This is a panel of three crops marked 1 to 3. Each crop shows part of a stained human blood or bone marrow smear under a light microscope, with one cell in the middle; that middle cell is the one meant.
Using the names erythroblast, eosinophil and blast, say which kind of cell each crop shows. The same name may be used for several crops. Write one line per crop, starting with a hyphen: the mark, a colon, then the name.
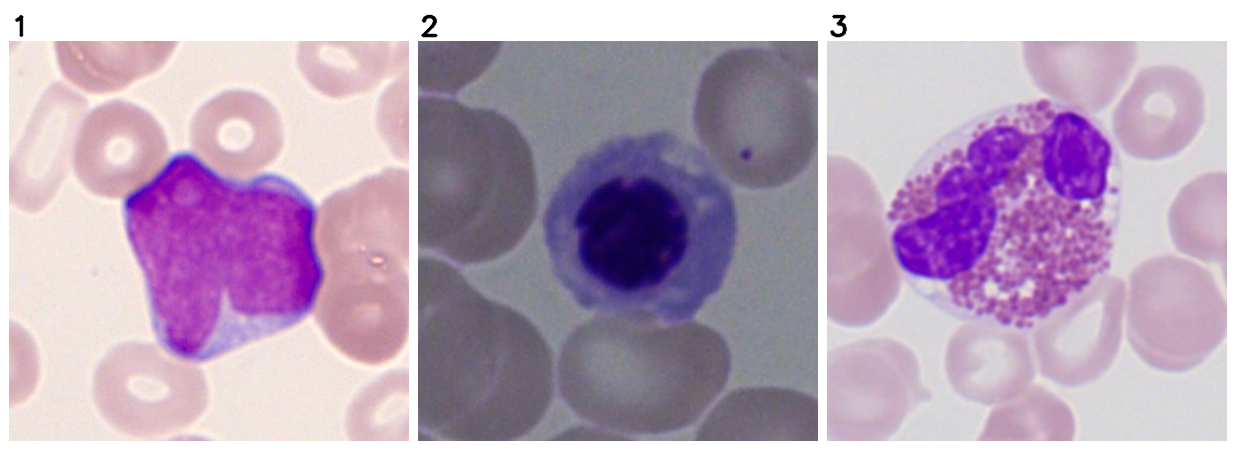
- 1: blast
- 2: erythroblast
- 3: eosinophil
